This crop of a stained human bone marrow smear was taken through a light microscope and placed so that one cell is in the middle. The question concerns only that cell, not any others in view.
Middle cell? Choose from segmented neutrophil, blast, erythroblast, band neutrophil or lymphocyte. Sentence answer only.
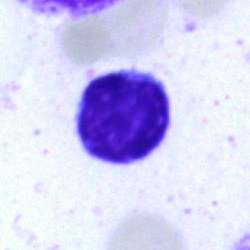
This crop's central cell is a lymphocyte.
